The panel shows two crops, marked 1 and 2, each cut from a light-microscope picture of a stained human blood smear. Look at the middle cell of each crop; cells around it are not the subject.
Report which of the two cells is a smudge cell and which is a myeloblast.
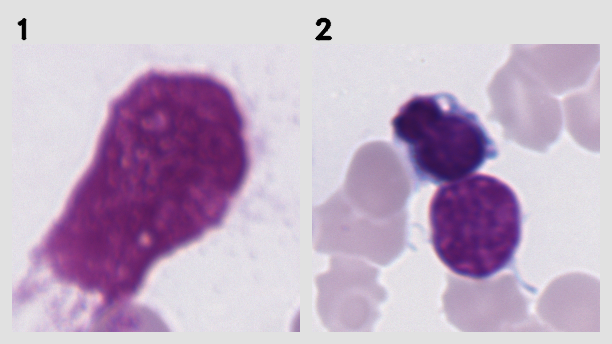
1: smudge cell
2: myeloblast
